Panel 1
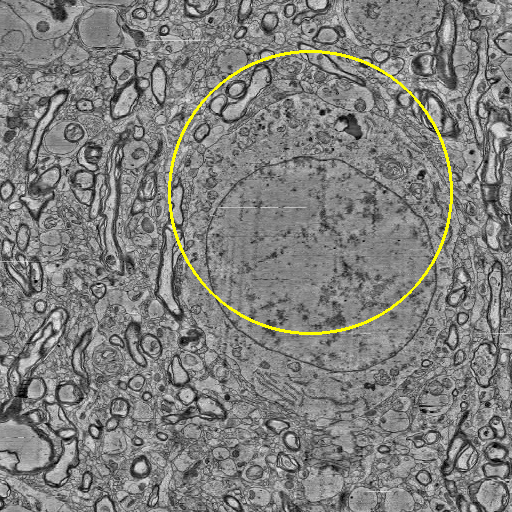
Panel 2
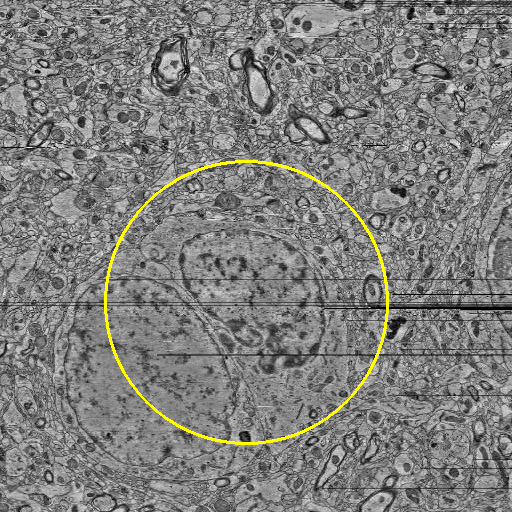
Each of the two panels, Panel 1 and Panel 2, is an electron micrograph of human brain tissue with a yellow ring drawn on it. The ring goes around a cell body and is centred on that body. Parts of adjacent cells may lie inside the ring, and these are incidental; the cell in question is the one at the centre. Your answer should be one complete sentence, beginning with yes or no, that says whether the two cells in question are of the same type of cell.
No, the two cells are of two types.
